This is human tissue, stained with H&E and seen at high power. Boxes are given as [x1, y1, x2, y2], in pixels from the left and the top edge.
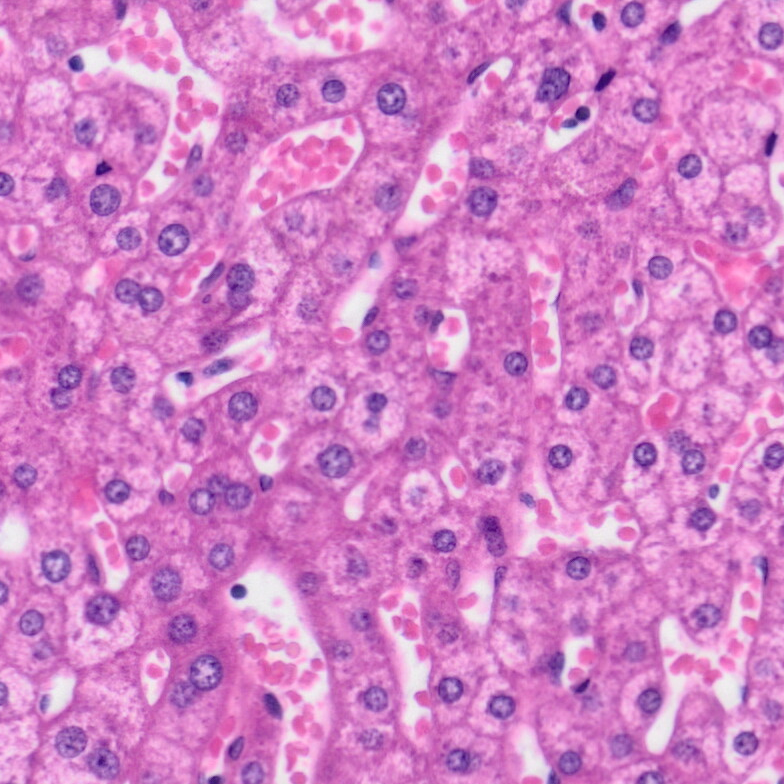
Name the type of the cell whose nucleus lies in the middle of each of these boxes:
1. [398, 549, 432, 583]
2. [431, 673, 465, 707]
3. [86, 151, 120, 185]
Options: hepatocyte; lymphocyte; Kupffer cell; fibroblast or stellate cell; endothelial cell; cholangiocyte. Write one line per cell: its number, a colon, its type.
1: hepatocyte
2: hepatocyte
3: fibroblast or stellate cell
